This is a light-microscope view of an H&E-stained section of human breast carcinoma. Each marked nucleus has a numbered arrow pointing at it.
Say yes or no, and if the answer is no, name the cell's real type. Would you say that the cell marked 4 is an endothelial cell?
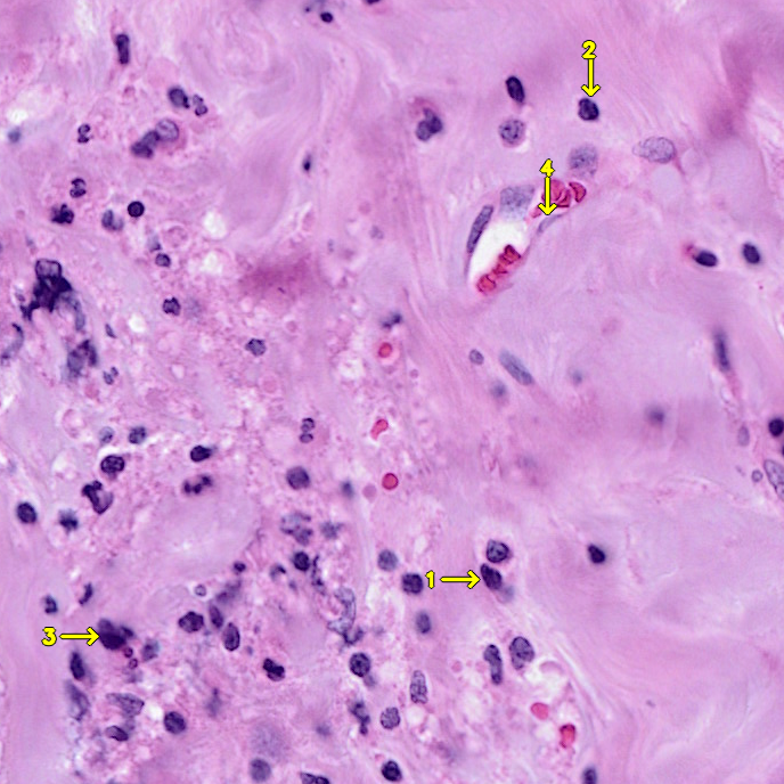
Yes.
